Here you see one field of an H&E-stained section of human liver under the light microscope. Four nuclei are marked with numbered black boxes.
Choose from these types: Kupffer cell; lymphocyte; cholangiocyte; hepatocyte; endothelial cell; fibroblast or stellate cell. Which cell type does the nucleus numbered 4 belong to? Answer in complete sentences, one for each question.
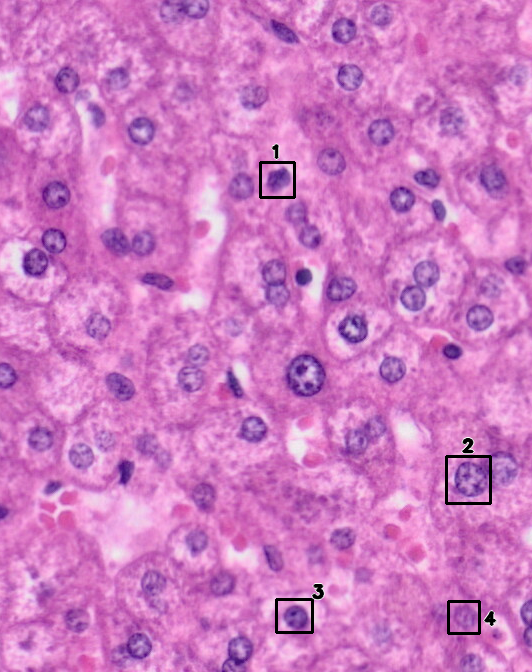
Cell 4, as marked in the section, is a hepatocyte.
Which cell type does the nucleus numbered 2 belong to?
The cell that goes by number 2 is a hepatocyte.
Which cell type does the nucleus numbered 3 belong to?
Cell 3 of the marked set is a hepatocyte.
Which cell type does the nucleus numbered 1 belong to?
The correct answer for cell 1 is an endothelial cell.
